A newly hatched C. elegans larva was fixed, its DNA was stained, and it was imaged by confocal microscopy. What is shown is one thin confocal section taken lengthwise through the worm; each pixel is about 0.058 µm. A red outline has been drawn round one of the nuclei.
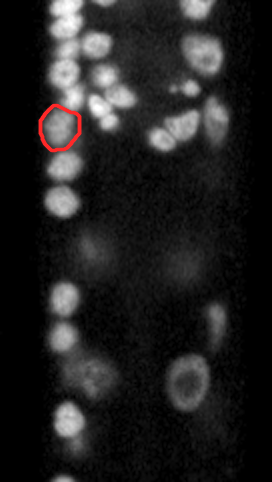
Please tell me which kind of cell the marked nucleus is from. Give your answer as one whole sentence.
The marked cell is a neuron.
